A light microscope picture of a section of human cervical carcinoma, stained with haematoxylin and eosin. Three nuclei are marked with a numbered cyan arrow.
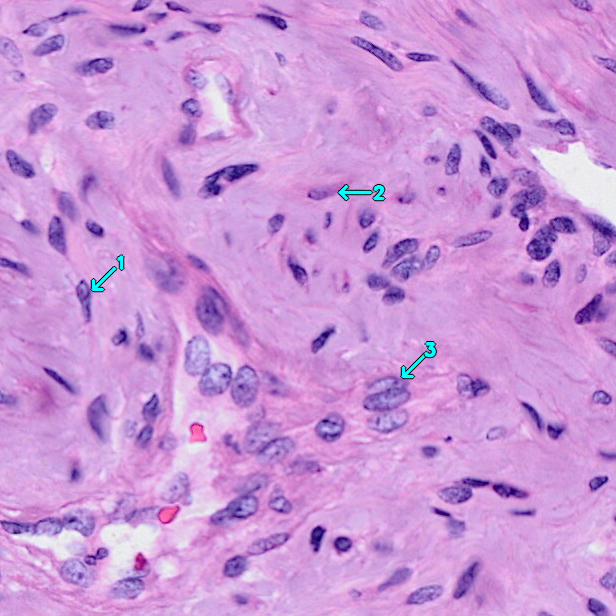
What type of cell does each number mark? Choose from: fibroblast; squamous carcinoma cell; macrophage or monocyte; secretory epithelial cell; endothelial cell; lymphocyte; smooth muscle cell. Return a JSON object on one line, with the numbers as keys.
{"1": "fibroblast", "2": "smooth muscle cell", "3": "endothelial cell"}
